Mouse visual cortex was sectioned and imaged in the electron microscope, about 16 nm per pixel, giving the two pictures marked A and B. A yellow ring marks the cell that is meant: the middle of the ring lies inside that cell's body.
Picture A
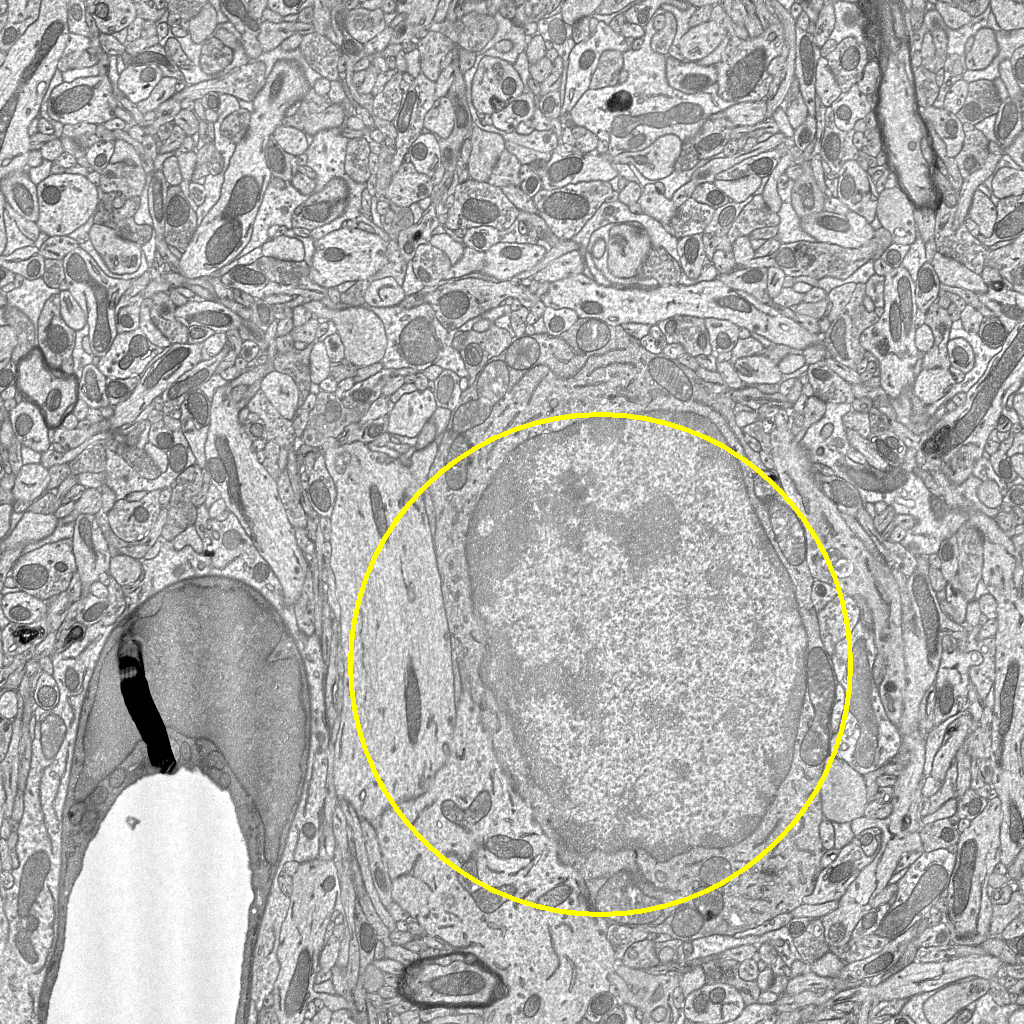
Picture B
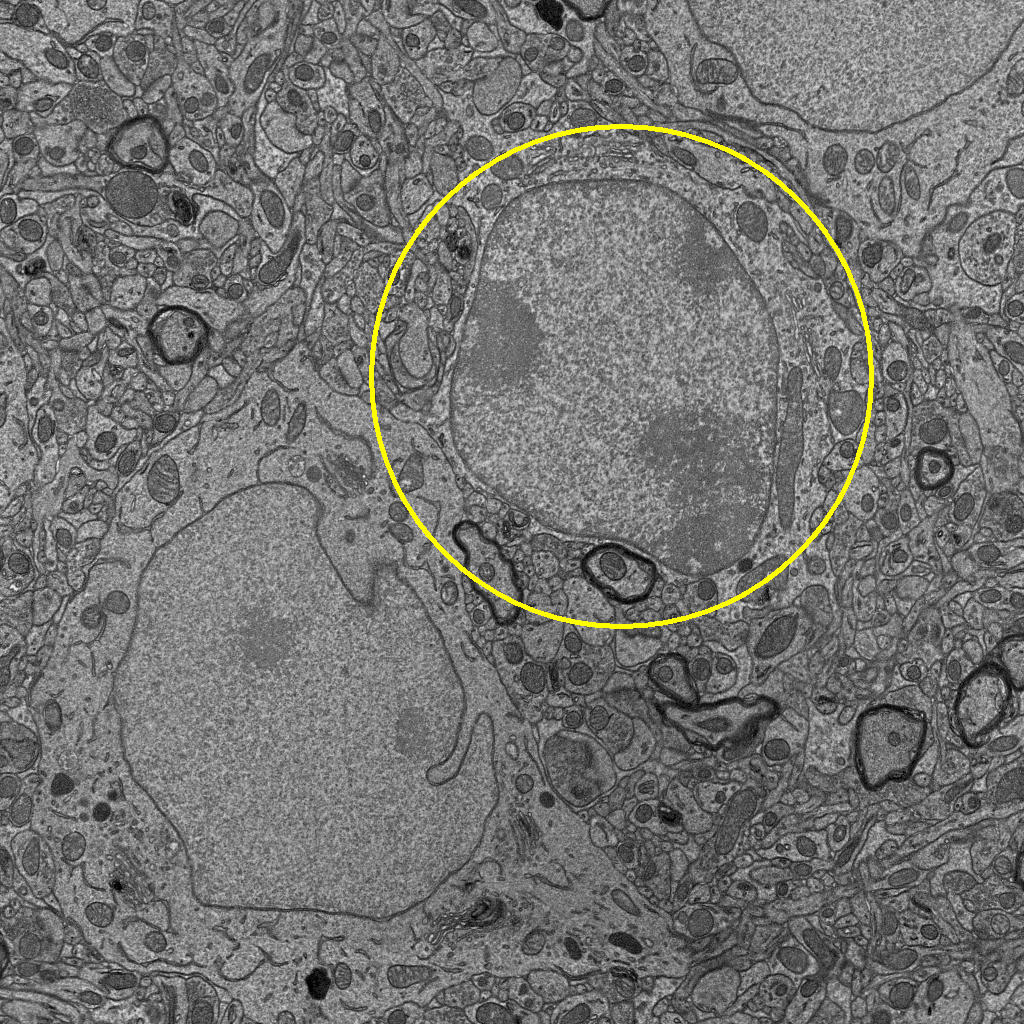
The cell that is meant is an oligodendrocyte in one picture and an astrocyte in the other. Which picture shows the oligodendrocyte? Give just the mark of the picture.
A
